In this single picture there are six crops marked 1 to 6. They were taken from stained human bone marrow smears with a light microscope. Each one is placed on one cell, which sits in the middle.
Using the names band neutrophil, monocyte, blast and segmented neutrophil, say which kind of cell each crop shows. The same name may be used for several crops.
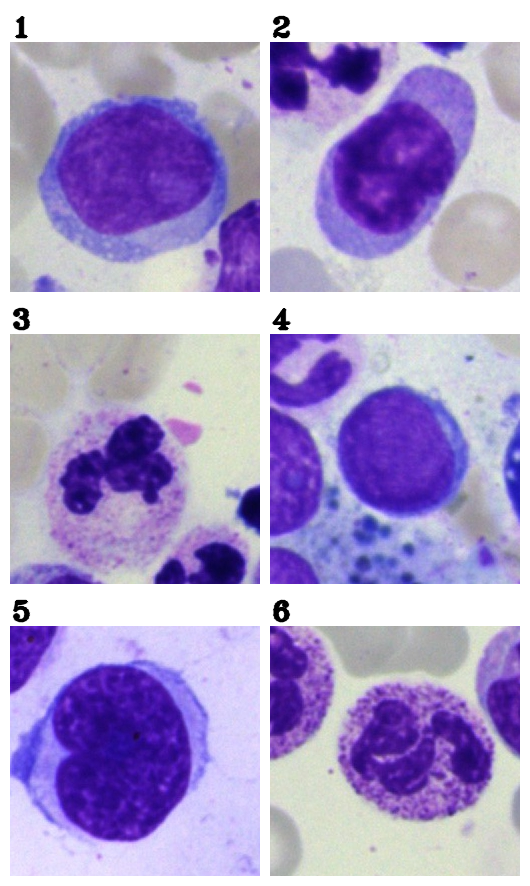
1: blast
2: monocyte
3: segmented neutrophil
4: blast
5: blast
6: segmented neutrophil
